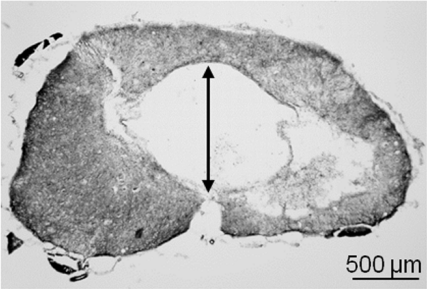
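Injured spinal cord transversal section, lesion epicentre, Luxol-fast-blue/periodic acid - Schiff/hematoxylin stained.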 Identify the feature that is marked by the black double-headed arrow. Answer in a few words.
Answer: Cyst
